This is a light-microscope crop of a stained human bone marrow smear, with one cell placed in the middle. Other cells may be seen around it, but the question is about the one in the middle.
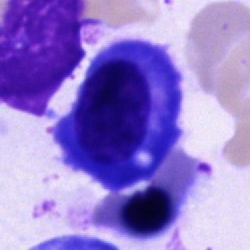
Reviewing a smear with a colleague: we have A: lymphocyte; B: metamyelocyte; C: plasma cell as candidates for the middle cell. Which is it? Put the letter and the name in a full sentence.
Option C holds up: the cell in the middle is a plasma cell.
